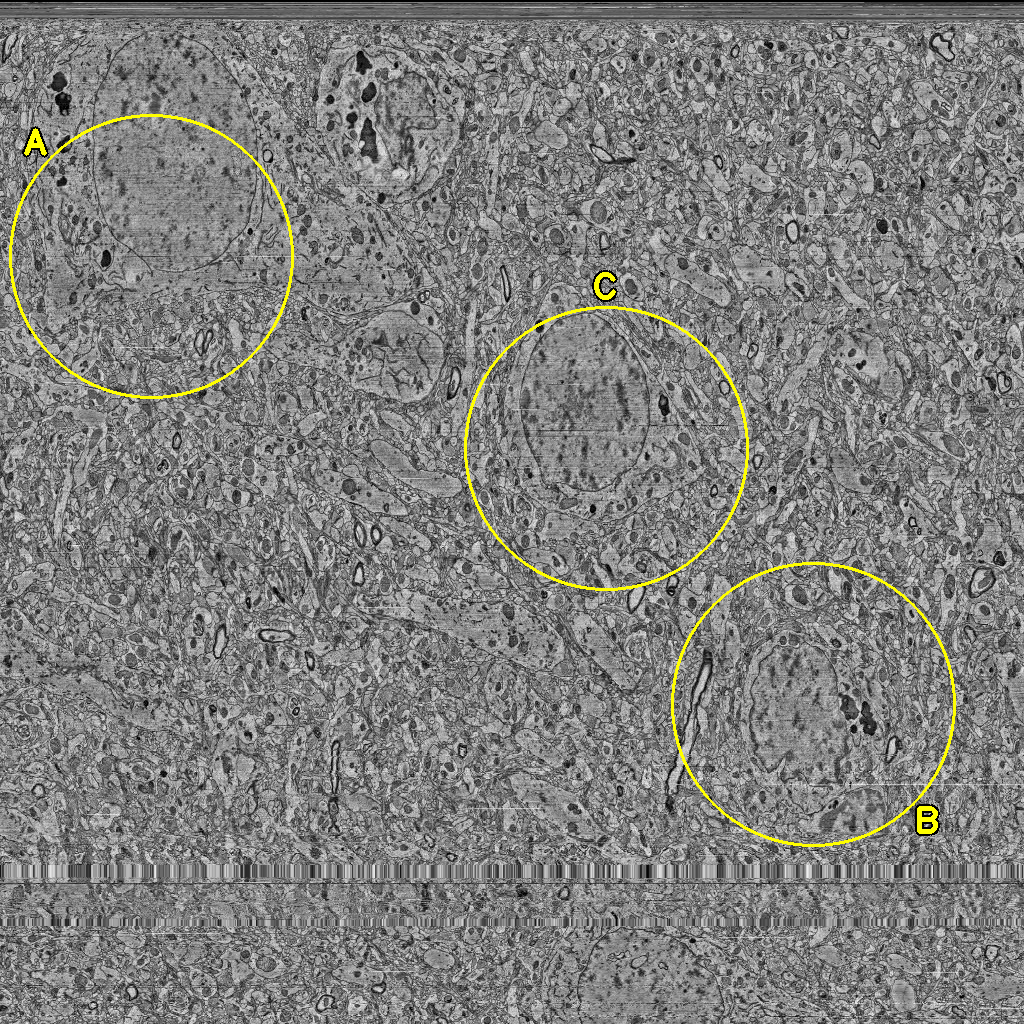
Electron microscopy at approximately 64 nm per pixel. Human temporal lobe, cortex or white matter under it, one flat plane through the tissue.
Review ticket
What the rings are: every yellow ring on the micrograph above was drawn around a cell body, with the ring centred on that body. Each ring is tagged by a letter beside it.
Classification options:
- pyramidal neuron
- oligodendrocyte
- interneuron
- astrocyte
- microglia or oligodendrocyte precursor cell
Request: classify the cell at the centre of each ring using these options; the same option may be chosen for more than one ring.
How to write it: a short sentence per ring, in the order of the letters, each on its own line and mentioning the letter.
The cell centred in ring A is a pyramidal neuron.
The cell centred in ring B is an interneuron.
The cell centred in ring C is a pyramidal neuron.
